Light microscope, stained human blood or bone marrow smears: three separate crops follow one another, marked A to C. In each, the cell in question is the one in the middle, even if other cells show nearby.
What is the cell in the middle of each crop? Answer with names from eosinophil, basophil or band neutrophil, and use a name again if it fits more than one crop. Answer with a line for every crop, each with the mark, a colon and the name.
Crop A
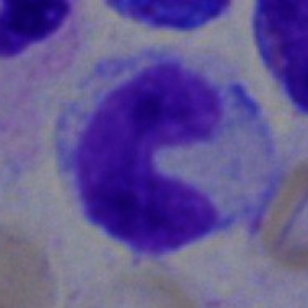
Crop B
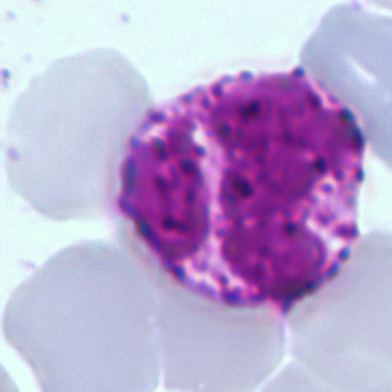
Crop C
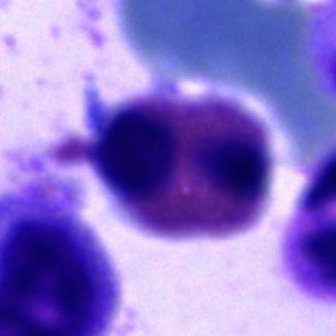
A: band neutrophil
B: basophil
C: eosinophil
